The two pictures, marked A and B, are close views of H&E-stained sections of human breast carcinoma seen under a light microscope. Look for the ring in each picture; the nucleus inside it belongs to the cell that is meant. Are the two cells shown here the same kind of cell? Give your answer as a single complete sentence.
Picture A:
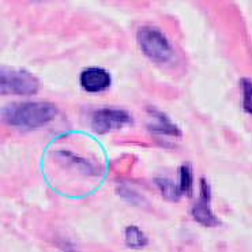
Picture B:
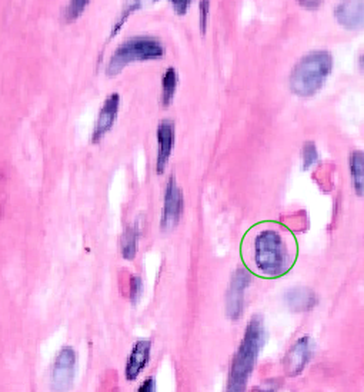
Yes, both cells are endothelial cells.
